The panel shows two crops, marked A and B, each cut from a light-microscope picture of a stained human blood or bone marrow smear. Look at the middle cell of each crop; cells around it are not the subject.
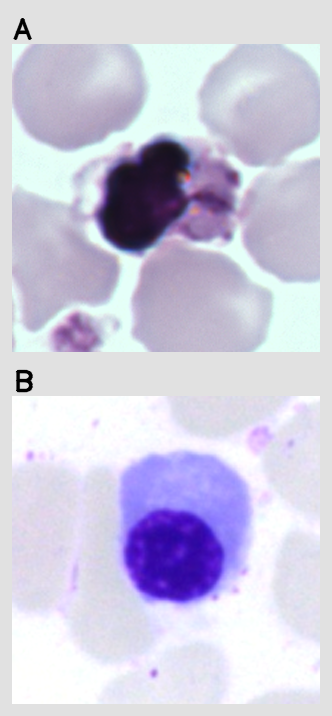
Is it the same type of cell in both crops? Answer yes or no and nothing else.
yes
